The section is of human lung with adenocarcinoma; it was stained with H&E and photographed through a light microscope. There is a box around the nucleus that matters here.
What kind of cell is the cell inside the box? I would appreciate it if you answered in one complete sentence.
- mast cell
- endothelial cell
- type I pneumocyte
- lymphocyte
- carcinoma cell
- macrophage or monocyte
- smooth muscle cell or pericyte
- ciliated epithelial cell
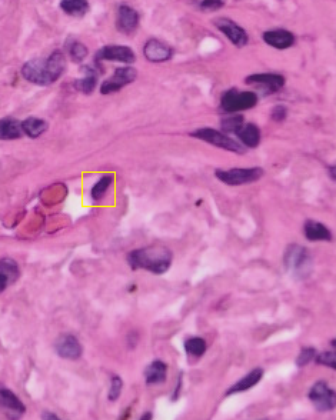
Cell type answer for this item: the cell inside the box is an endothelial cell.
